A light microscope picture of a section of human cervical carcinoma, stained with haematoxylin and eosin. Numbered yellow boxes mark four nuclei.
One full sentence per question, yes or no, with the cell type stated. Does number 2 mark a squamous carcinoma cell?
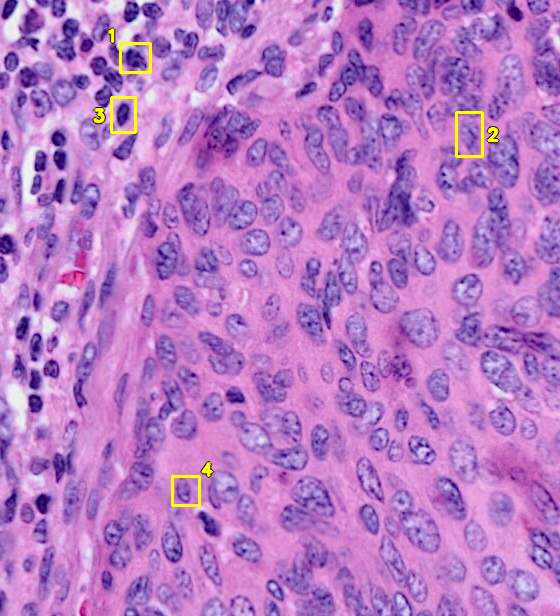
Yes, number 2 marks a cell that is a squamous carcinoma cell.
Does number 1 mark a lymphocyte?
Yes, and to answer plainly, cell 1 is a lymphocyte.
